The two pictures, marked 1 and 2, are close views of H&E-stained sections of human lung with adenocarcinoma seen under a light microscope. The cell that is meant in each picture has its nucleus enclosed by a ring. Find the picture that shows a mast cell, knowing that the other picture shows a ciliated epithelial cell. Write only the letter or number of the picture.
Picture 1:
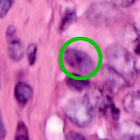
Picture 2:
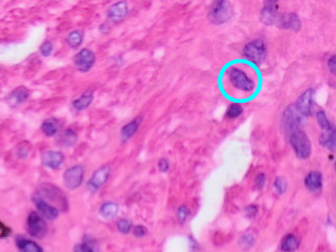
2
